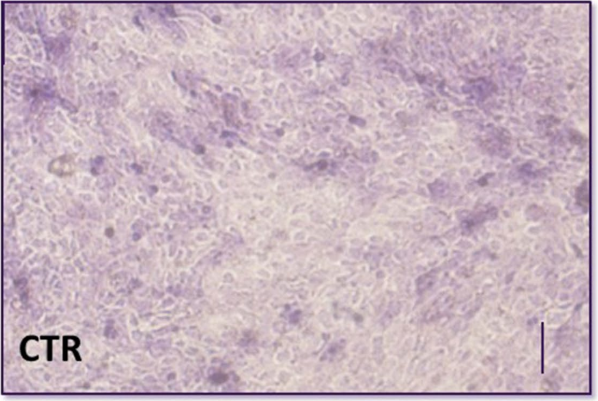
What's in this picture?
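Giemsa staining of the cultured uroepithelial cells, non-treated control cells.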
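The cells are small and polygonal to rounded, with faint outlines, and they pack closely without gaps. Darker purple patches are scattered across the layer where cells are more densely crowded or more intensely stained. A few small, dark, rounded bodies lie on the surface of the sheet.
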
